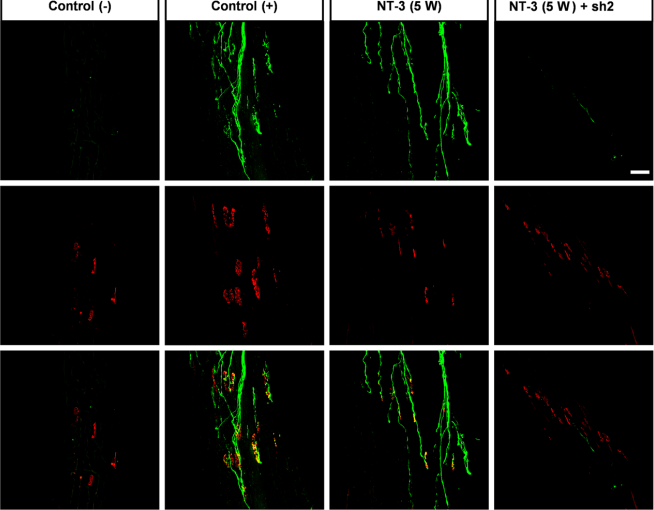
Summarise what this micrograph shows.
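Longitudinal muscle section with nerve fibres and motor endplates. Thin, wavy green threads run roughly in parallel along the tissue, dense in some columns and nearly absent in others. Small red plaques, elongated or clustered, lie scattered along the tissue. In the merged row some green threads reach the red plaques and overlap them as yellow; elsewhere red plaques sit alone with no green beside them. Background is dark, without visible nuclei or muscle striation.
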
